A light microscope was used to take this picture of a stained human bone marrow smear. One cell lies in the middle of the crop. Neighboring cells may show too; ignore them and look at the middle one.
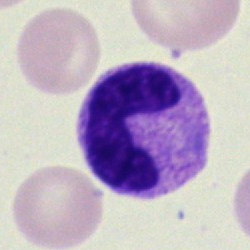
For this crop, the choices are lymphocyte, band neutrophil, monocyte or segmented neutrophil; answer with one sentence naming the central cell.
The cell at the centre of the field is a band neutrophil.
